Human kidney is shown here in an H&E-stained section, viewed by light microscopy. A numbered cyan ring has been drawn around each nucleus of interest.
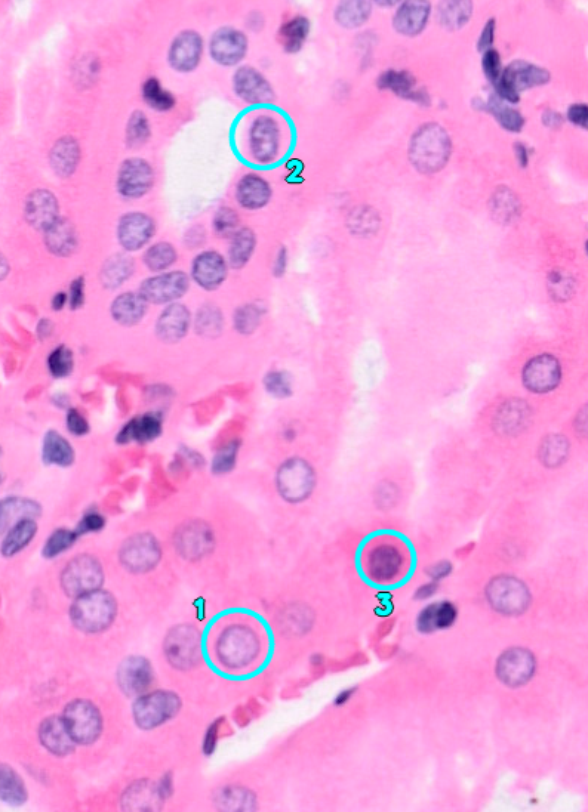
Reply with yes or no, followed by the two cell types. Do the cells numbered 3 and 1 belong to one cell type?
Yes, both are proximal tubule cells.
